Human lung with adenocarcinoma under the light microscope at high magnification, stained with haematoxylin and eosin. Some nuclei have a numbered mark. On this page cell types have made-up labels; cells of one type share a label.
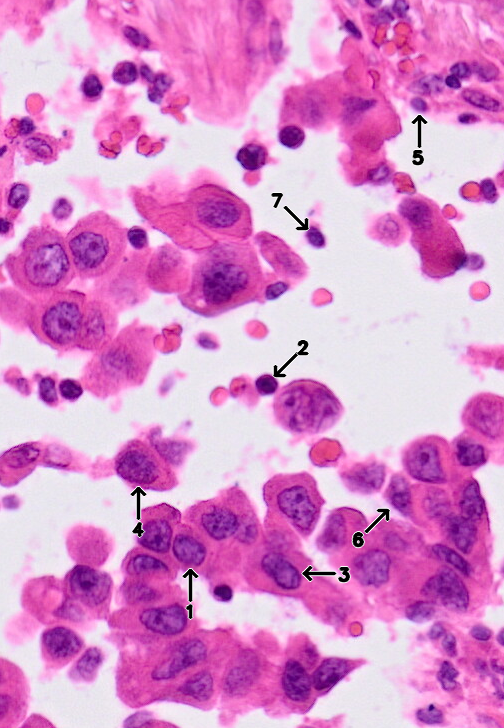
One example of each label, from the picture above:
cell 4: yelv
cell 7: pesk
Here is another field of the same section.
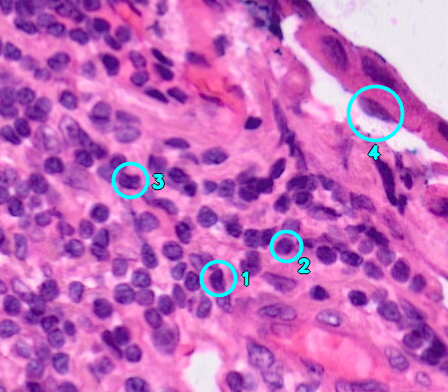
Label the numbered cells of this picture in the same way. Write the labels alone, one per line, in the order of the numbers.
pesk
pesk
pesk
yelv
